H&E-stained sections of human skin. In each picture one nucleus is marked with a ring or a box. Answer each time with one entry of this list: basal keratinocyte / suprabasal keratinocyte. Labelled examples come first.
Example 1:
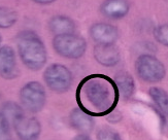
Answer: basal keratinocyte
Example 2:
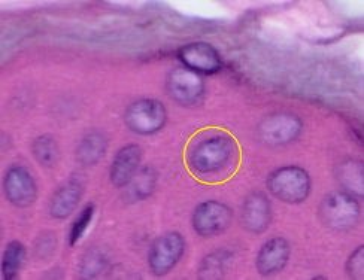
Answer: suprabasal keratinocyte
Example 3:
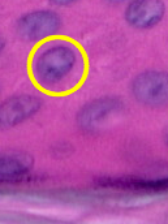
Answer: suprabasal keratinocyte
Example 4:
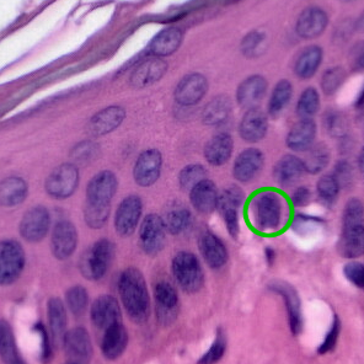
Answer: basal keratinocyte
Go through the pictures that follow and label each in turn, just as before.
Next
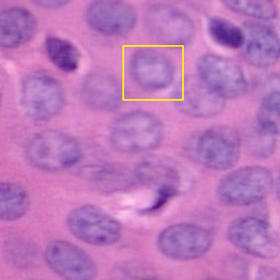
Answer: suprabasal keratinocyte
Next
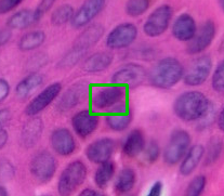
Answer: basal keratinocyte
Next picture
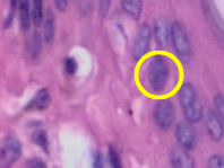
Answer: basal keratinocyte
